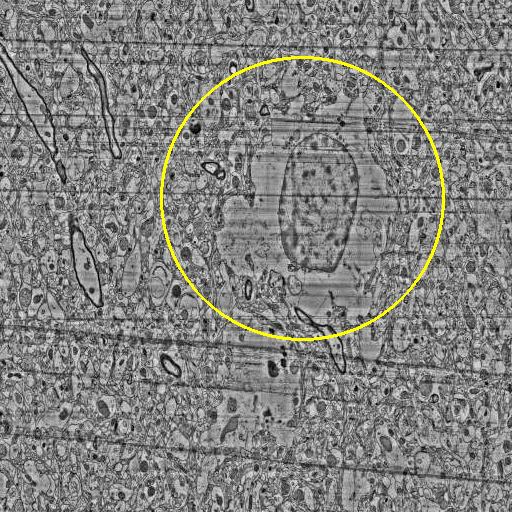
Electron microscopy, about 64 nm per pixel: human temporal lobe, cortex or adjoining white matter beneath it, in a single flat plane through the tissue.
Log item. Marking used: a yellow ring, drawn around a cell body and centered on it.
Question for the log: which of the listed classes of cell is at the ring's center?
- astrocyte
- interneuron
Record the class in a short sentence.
At the center of the ring lies an astrocyte.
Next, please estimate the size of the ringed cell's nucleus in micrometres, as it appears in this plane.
Roughly 9 micrometres by 5 micrometres, so the nucleus is clearly longer than it is wide in this plane.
